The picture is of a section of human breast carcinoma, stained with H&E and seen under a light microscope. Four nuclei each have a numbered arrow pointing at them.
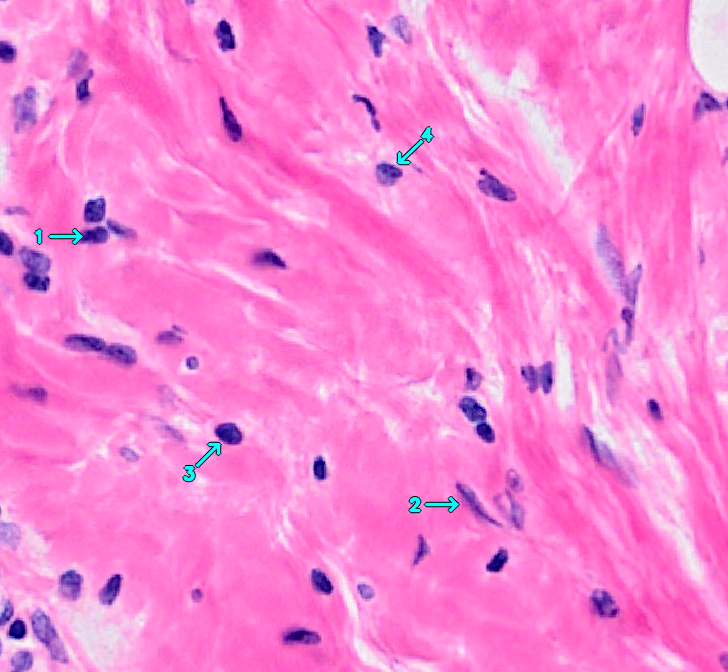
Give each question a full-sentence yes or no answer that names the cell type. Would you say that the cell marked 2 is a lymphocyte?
No, number 2 does not mark a lymphocyte; it marks a fibroblast.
